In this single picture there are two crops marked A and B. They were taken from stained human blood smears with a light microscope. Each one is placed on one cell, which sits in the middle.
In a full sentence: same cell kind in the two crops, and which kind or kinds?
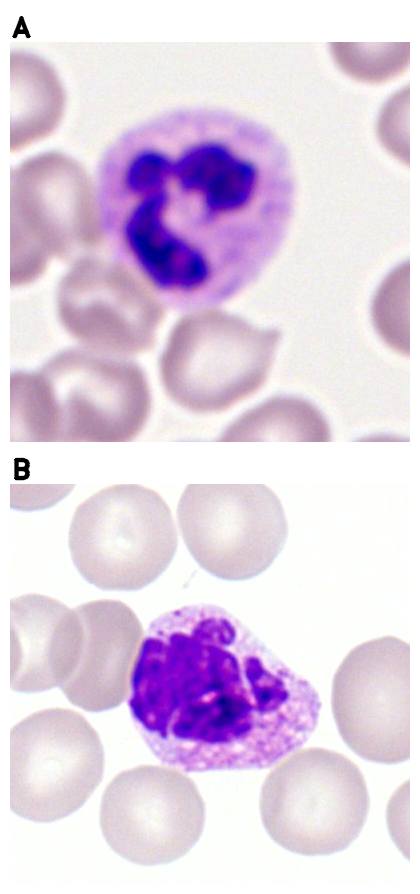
No, crop A represents a segmented neutrophil, and crop B represents a basophil.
